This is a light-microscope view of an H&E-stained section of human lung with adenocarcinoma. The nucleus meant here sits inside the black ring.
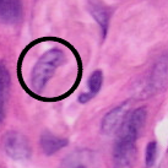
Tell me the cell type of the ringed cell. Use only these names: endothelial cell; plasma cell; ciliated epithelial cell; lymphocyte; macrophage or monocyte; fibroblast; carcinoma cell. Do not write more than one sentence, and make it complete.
Labelled by cell type, the ringed cell is a fibroblast.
